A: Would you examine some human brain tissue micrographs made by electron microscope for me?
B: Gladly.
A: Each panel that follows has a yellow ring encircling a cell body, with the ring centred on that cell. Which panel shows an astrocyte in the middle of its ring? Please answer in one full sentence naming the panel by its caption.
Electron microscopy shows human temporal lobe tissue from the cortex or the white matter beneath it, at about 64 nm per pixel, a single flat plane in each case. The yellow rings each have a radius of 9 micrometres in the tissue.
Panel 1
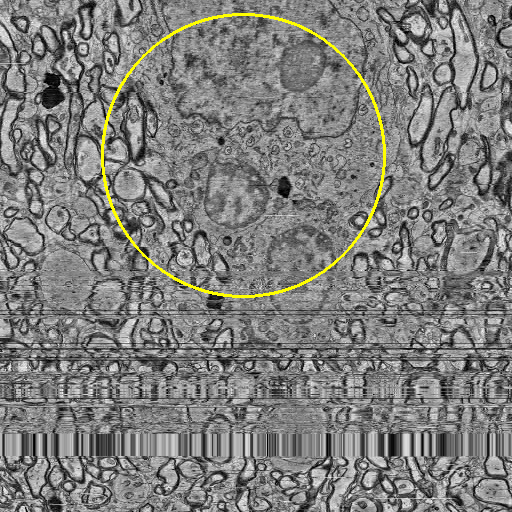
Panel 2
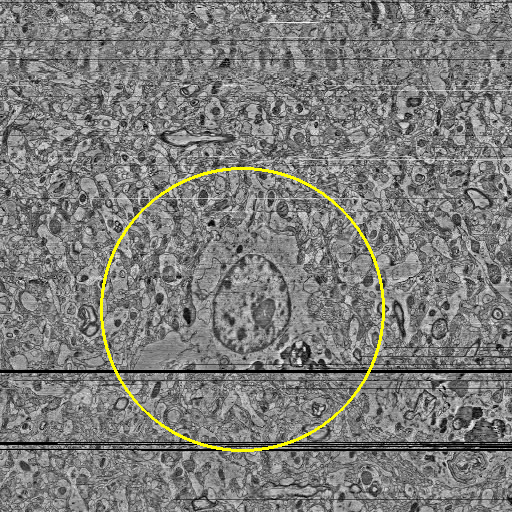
Panel 2 is where the ring sits centred on the requested cell.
